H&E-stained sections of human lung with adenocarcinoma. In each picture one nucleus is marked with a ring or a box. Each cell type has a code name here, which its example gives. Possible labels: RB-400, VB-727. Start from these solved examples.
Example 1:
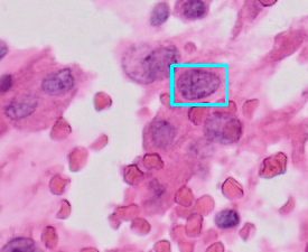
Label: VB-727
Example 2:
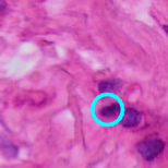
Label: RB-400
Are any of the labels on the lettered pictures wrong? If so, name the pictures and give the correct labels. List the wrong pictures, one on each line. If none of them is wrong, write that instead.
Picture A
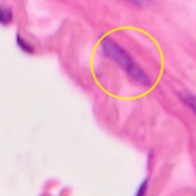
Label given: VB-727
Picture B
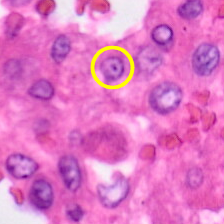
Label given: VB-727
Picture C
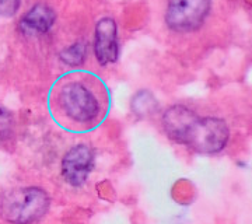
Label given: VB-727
A: change VB-727 to RB-400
